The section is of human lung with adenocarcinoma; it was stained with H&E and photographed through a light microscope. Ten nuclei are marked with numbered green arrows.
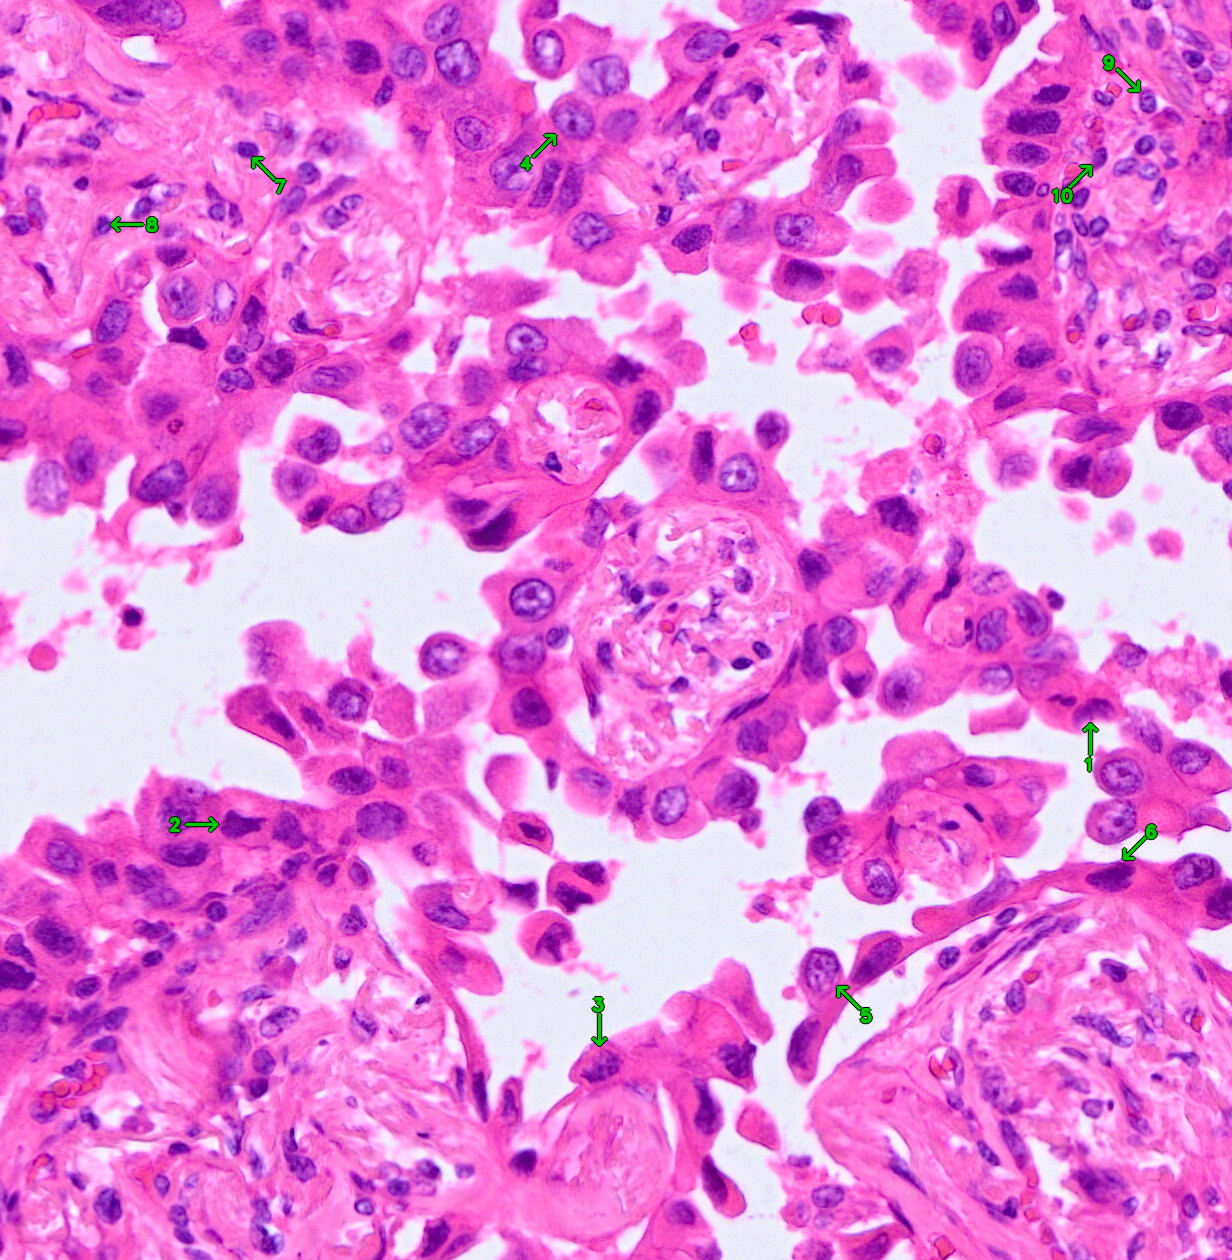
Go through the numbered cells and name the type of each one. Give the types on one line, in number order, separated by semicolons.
carcinoma cell; carcinoma cell; carcinoma cell; carcinoma cell; carcinoma cell; carcinoma cell; lymphocyte; lymphocyte; lymphocyte; lymphocyte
